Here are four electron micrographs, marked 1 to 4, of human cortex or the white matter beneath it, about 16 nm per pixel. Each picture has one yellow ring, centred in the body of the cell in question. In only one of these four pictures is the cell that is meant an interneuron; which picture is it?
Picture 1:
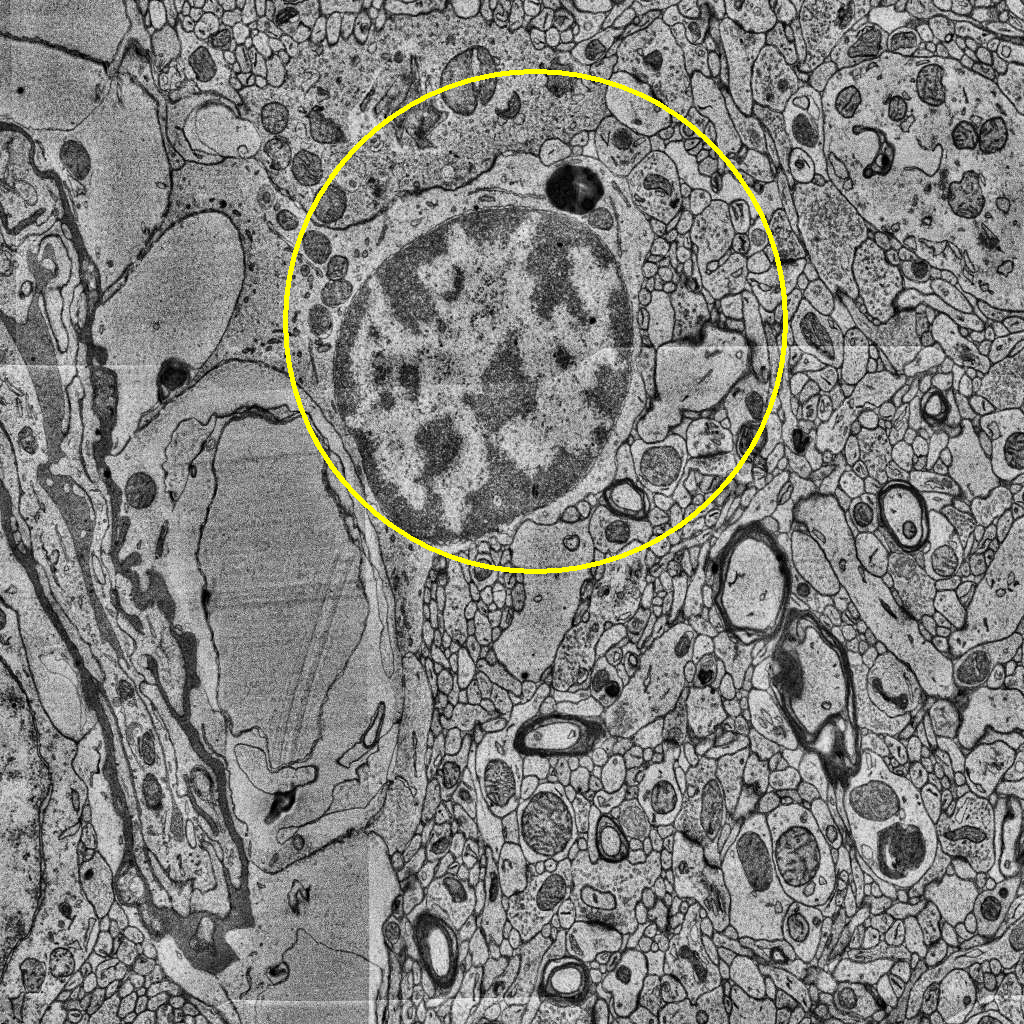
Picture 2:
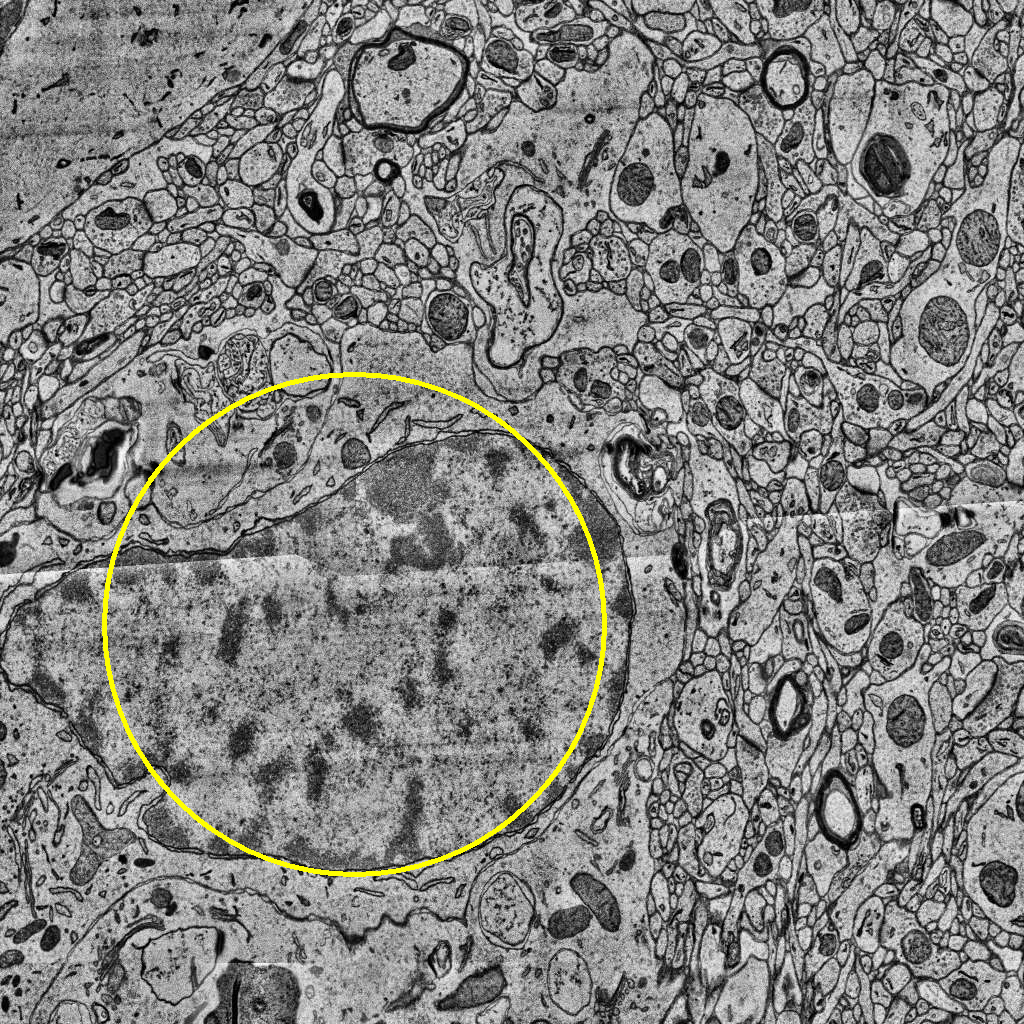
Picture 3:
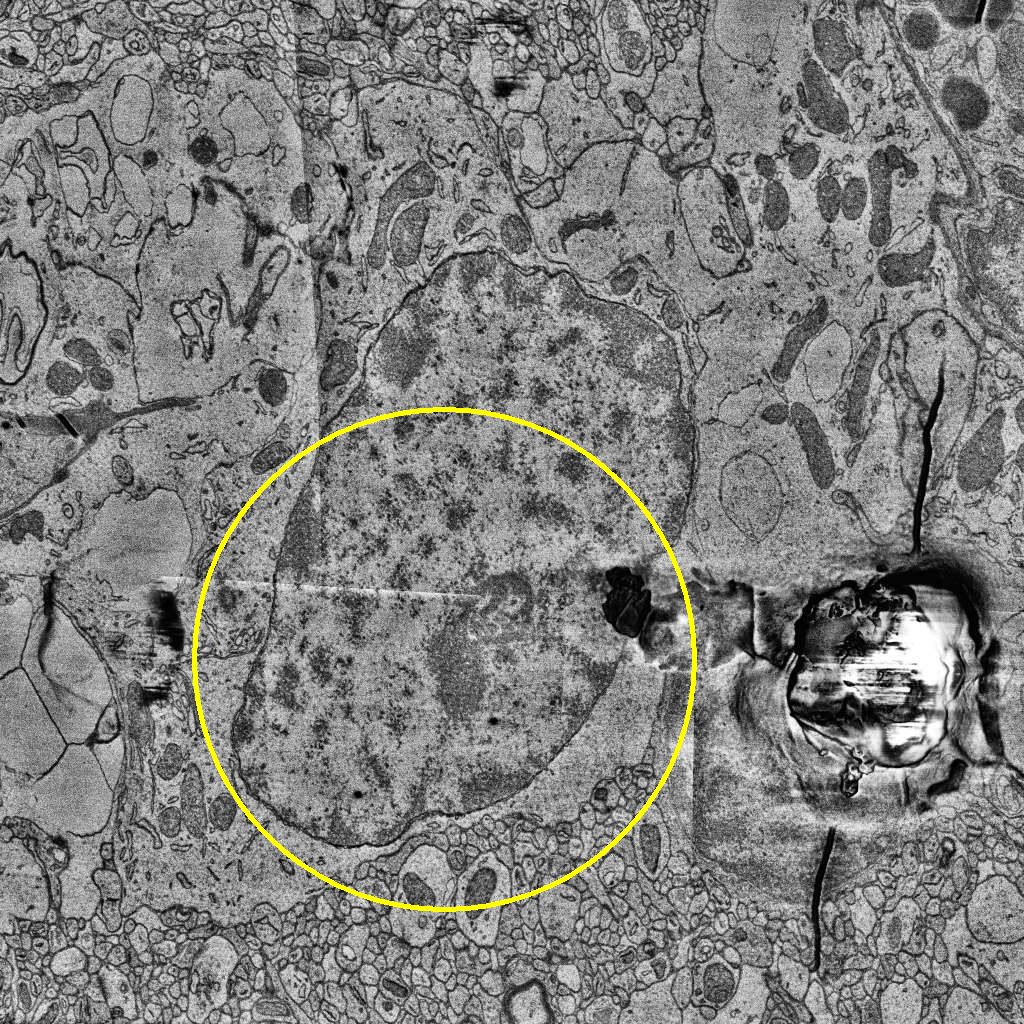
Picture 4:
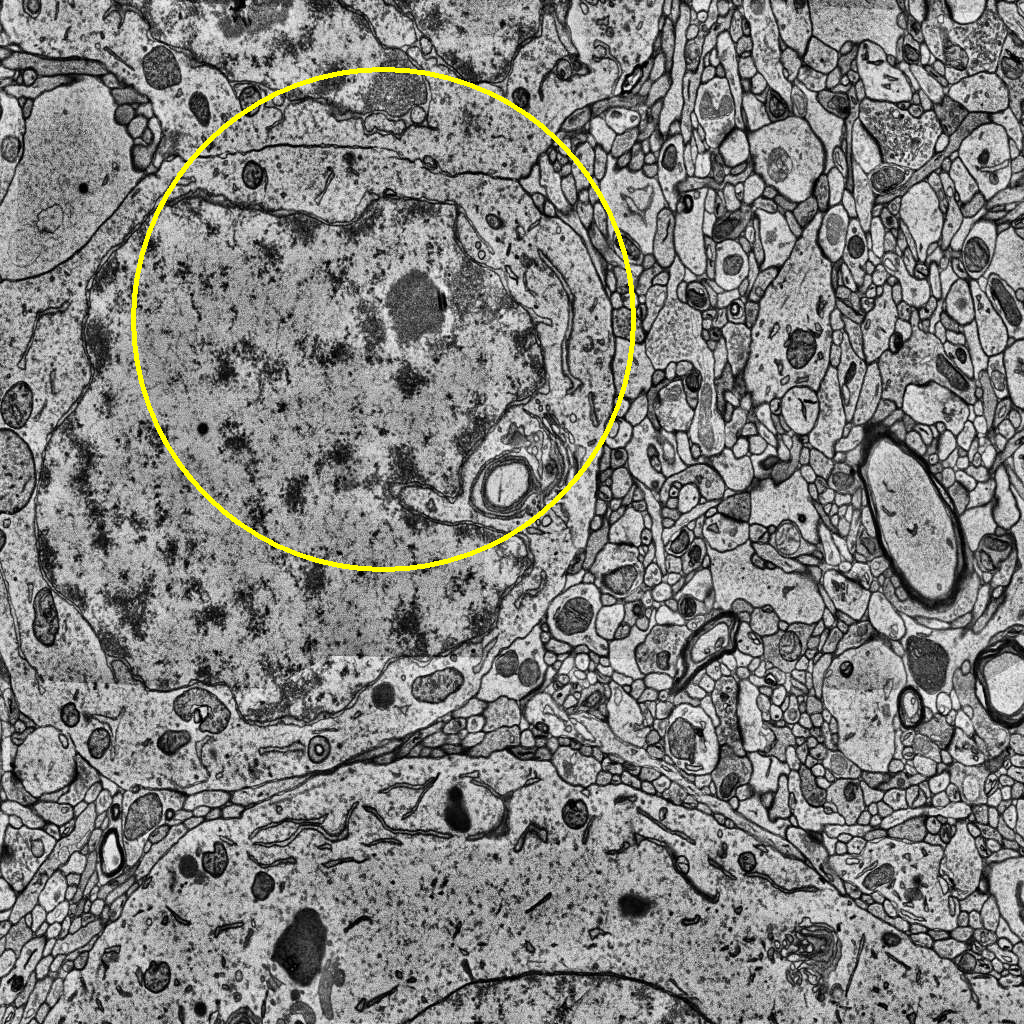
Picture 4 shows the interneuron.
